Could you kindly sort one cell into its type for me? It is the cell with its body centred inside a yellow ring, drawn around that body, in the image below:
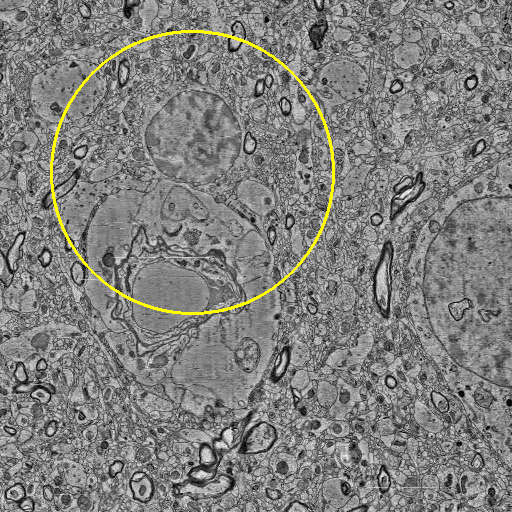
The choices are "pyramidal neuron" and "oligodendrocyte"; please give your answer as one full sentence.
The cell whose body lies centred in the yellow ring here is an oligodendrocyte.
